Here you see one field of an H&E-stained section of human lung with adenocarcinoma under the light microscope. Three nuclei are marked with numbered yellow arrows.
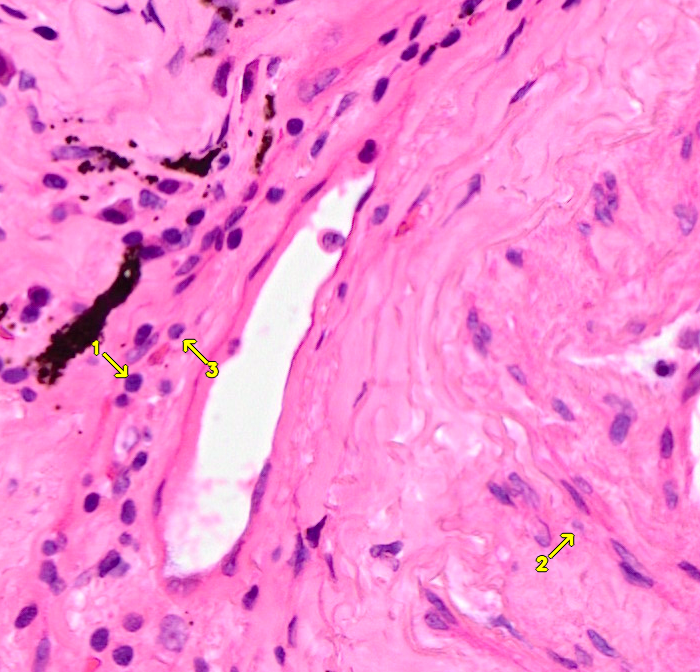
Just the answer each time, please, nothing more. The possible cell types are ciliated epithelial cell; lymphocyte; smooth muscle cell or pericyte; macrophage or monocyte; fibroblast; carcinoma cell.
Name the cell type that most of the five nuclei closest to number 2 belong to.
smooth muscle cell or pericyte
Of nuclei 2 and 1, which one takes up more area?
1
